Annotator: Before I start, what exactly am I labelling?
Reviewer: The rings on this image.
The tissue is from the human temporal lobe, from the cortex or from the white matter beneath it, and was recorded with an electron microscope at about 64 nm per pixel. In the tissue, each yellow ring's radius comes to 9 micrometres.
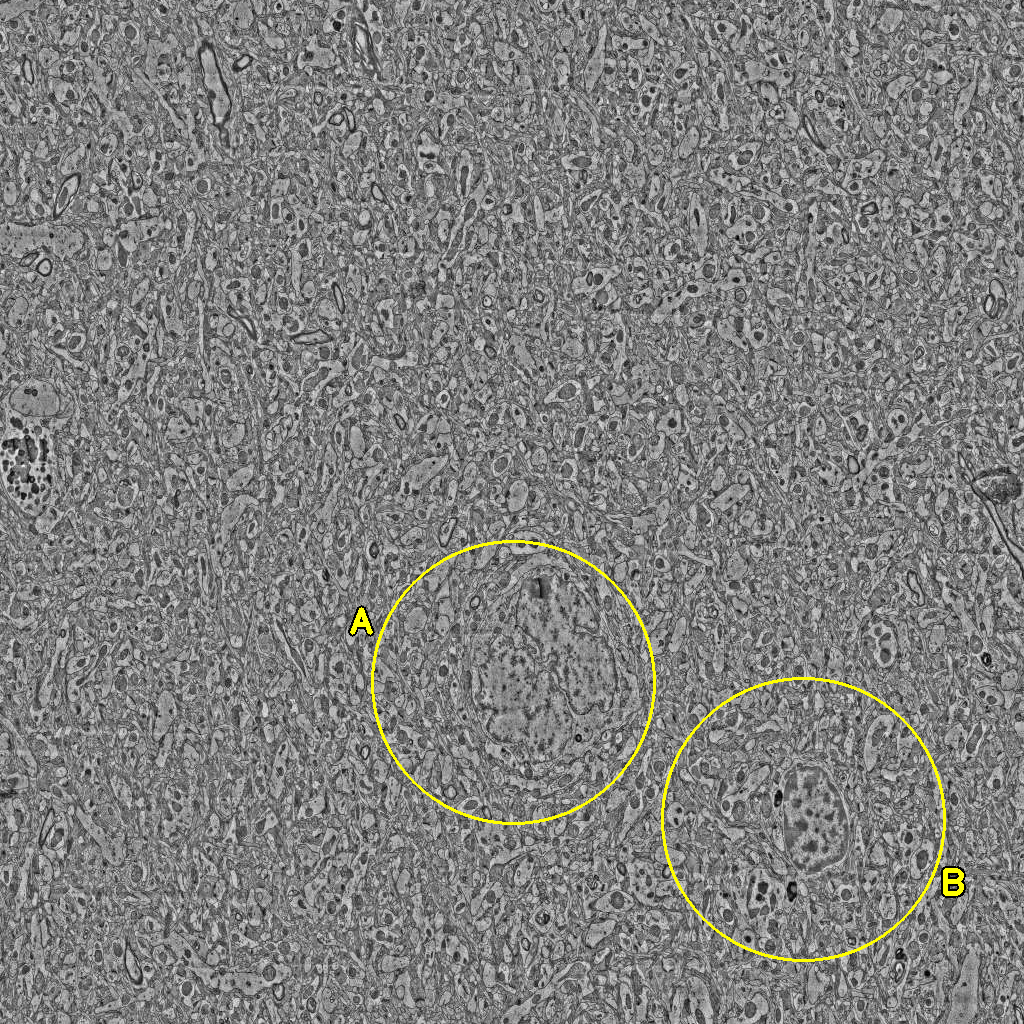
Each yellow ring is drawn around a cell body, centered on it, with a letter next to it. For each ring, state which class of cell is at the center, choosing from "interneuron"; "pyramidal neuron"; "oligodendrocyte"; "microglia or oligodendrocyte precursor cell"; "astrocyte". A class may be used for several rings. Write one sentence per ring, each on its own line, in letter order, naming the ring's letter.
At the center of ring A we have an interneuron.
At the center of ring B we have a microglial cell or oligodendrocyte precursor cell.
